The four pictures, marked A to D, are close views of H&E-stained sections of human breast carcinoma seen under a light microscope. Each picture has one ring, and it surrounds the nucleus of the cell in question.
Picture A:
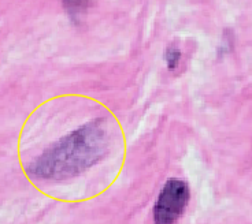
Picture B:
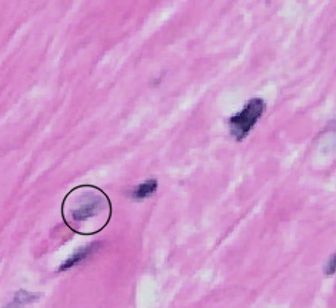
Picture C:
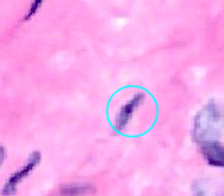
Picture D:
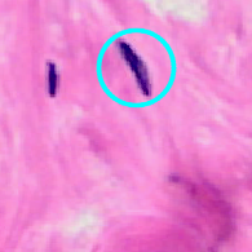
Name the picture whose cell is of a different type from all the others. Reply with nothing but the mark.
B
